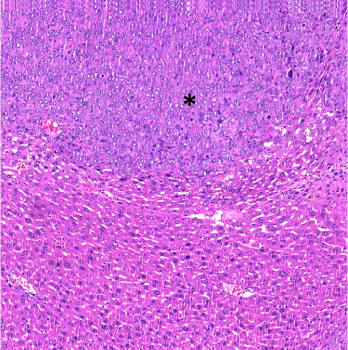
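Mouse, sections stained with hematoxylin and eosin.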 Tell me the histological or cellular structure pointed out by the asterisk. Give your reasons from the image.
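Tumor lesions. A crowded purple cell mass occupies the upper part. Pink hepatocyte cords lie beneath it with a clear border between them.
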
